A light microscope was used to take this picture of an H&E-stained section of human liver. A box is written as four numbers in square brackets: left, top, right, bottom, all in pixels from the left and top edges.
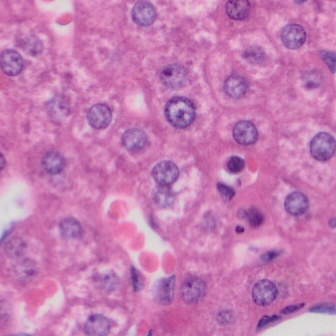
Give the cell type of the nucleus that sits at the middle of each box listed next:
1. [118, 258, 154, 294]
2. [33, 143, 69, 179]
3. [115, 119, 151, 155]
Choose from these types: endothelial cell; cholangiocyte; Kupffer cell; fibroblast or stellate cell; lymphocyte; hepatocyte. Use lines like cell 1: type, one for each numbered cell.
cell 1: fibroblast or stellate cell
cell 2: hepatocyte
cell 3: hepatocyte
